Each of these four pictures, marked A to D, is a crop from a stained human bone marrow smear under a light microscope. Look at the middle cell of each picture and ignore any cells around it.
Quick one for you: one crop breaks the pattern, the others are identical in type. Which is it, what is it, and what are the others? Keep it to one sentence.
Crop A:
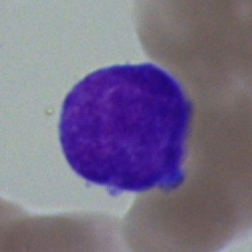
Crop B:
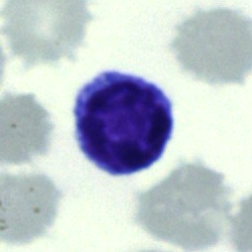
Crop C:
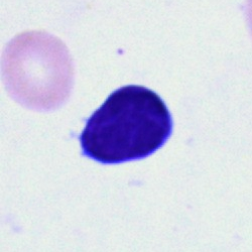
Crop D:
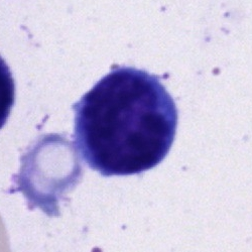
All the crops show lymphocytes, barring crop A, which is a blast.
